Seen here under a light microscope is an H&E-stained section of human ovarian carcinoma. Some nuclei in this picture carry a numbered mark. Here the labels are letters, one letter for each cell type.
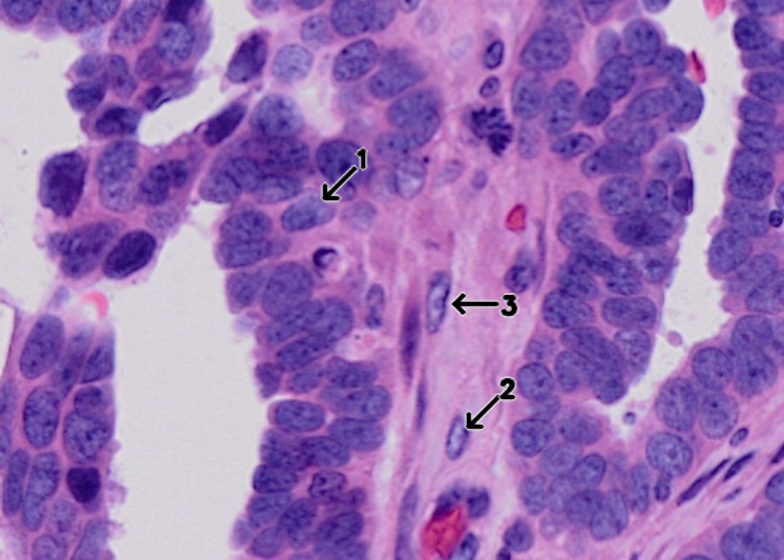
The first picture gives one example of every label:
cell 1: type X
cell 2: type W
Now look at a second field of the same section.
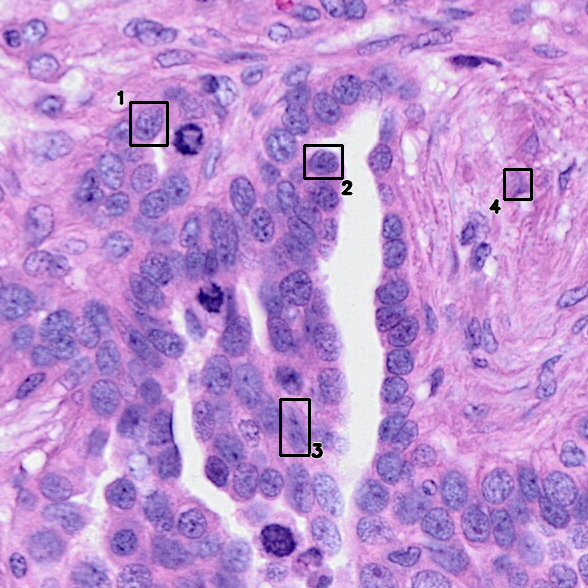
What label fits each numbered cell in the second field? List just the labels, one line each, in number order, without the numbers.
type X
type X
type X
type W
